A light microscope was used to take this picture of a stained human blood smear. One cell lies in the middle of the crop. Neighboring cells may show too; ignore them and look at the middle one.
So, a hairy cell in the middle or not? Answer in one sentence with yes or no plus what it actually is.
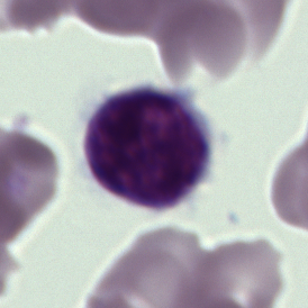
Yes, the cell sitting in the middle of this smear crop is a hairy cell.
